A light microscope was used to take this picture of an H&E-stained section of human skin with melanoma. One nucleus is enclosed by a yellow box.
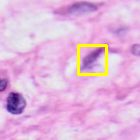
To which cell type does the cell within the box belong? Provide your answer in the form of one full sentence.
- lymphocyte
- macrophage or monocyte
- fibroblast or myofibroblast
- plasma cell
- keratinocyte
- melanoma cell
Among the cells in this section, the cell within the box is a fibroblast or myofibroblast.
